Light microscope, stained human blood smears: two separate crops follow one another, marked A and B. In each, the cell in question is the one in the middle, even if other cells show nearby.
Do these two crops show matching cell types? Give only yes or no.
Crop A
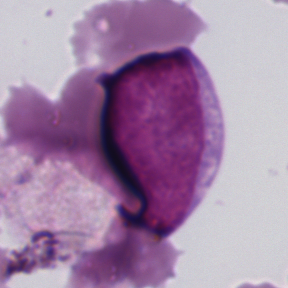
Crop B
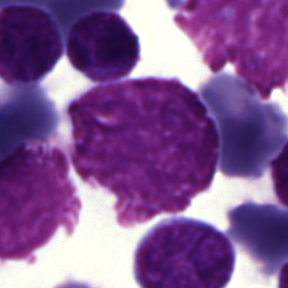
no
